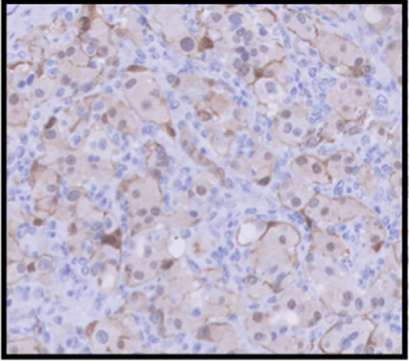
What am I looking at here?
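The brown lies mainly at the rims of the nests, where thin, flattened cells wrap around the larger pale chief cells. Inside the nests the chief cells are big and polygonal, with pale tan to clear cytoplasm and round blue nuclei. Between the nests lie small blue nuclei of stromal and vessel-lining cells, which do not stain.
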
